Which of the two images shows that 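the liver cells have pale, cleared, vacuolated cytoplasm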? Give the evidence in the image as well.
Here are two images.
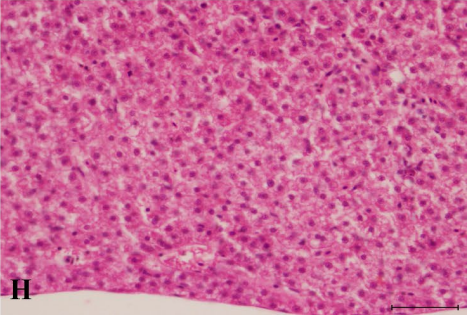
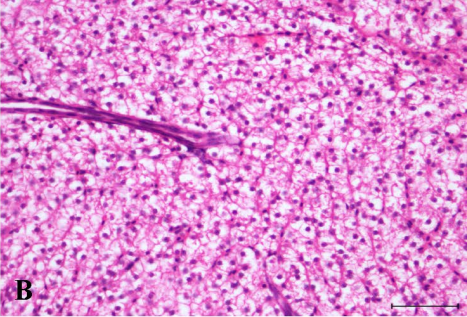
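First image: the liver cells have solid pink cytoplasm with few clear spaces. Second image: most liver cells look pale and empty, outlined by thin pink borders. The answer: the second image.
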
